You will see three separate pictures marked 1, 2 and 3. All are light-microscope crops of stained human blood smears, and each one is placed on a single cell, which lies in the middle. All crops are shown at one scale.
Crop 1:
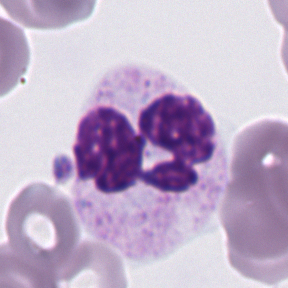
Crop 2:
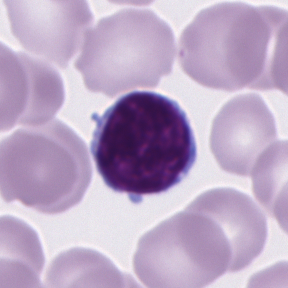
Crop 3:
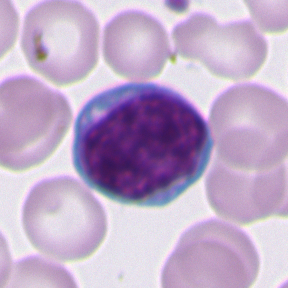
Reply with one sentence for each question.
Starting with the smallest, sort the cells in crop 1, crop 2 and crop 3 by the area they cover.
The order is 2, 3, 1, beginning with the smallest.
